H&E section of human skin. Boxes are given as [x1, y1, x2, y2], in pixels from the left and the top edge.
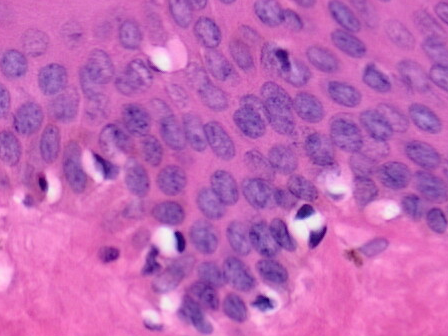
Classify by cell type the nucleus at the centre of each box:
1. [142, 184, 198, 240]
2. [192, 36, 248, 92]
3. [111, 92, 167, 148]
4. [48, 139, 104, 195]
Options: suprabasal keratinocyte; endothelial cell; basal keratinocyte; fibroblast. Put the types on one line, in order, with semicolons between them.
basal keratinocyte; suprabasal keratinocyte; suprabasal keratinocyte; basal keratinocyte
